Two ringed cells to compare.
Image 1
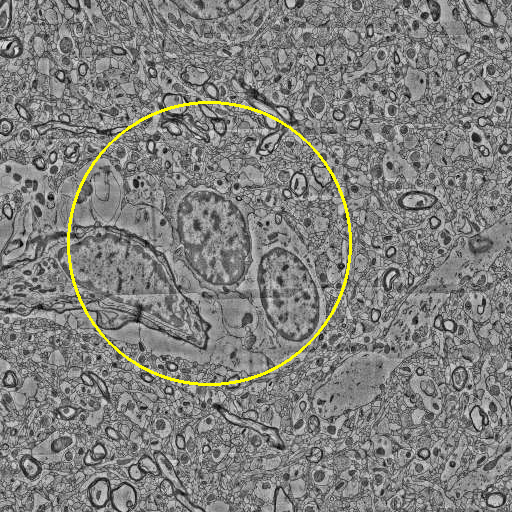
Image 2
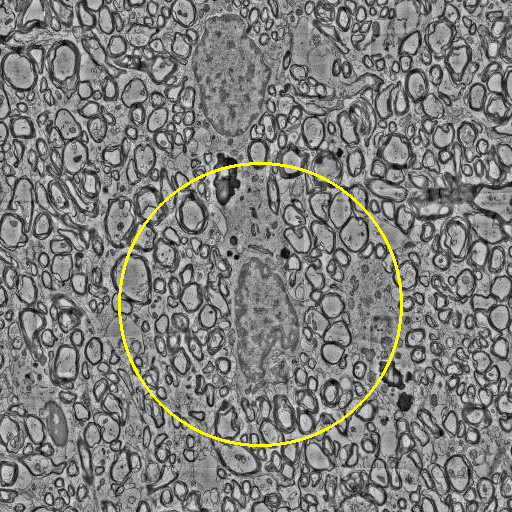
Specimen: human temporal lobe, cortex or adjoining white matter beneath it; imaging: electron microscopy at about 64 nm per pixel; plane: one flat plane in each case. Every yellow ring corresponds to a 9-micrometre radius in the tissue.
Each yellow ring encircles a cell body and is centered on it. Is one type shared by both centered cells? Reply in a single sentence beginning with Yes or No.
Yes, a single type is shared by the two cells at the centers of the rings.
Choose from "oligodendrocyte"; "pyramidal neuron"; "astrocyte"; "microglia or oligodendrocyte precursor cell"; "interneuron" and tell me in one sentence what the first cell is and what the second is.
Each one of the two ringed cells is an oligodendrocyte.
